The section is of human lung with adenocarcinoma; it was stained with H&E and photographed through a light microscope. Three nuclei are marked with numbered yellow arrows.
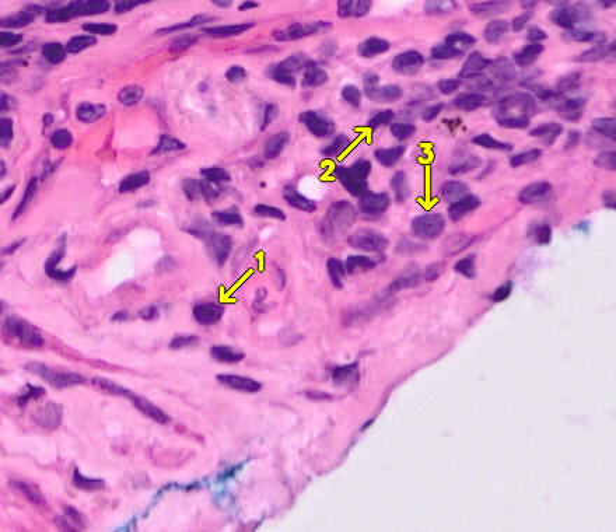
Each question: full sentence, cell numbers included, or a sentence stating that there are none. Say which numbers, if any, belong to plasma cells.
The sole numbered cell that is a plasma cell is cell 1.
